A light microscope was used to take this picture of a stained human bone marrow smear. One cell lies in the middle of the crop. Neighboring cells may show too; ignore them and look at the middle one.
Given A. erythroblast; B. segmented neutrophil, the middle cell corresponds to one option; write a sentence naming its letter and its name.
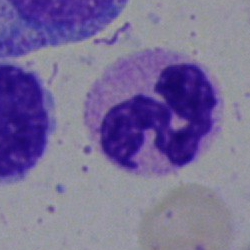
The cell at the centre is a segmented neutrophil, and option B accordingly is correct.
